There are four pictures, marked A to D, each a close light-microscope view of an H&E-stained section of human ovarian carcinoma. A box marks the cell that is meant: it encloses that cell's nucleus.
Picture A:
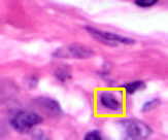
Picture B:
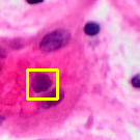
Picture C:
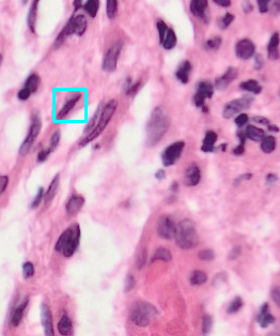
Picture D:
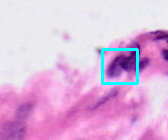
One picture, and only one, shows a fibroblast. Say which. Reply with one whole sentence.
It is picture C that shows the fibroblast.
